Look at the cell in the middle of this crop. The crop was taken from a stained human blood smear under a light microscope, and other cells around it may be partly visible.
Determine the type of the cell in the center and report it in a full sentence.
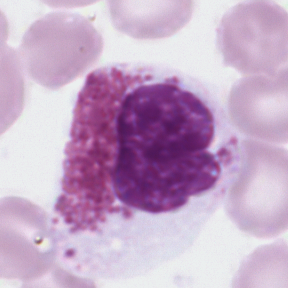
Whatever else lies nearby, the middle cell is an eosinophil.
